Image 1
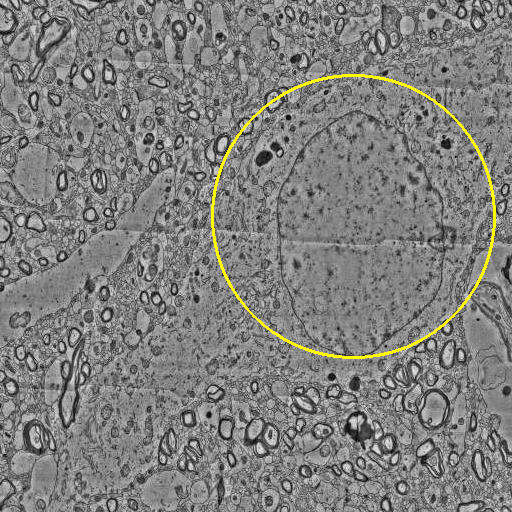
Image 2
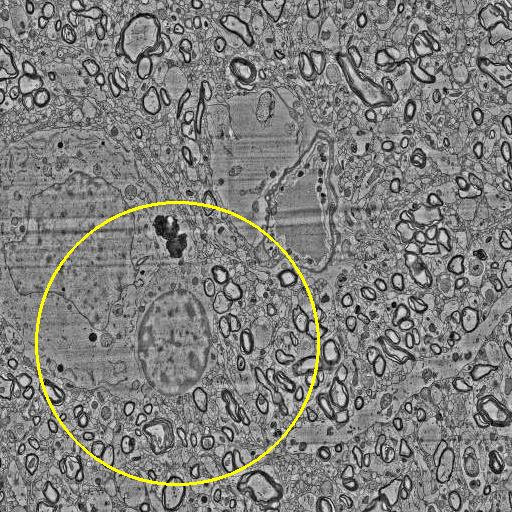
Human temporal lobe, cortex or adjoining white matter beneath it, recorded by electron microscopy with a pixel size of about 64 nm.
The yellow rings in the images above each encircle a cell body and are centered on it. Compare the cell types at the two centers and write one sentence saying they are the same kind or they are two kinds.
Taken together, the two cells at the ring centers are two kinds.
